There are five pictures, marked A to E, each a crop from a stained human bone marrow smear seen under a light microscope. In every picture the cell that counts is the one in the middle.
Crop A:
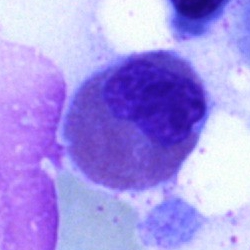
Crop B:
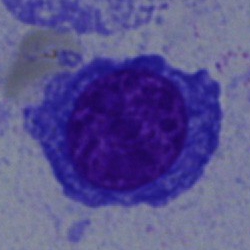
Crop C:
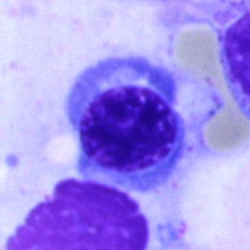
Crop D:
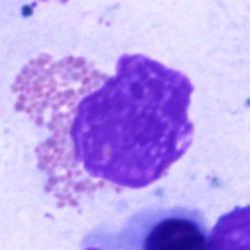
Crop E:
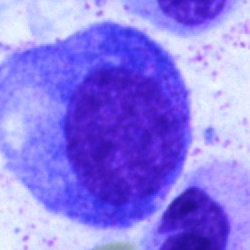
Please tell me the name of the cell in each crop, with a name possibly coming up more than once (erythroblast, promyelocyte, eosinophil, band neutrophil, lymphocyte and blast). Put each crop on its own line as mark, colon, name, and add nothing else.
A: eosinophil
B: erythroblast
C: erythroblast
D: eosinophil
E: promyelocyte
